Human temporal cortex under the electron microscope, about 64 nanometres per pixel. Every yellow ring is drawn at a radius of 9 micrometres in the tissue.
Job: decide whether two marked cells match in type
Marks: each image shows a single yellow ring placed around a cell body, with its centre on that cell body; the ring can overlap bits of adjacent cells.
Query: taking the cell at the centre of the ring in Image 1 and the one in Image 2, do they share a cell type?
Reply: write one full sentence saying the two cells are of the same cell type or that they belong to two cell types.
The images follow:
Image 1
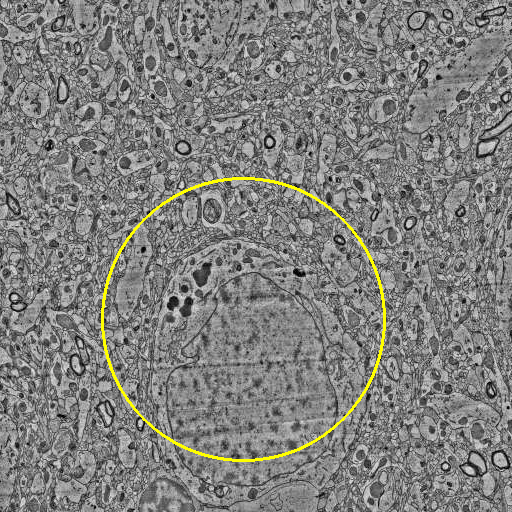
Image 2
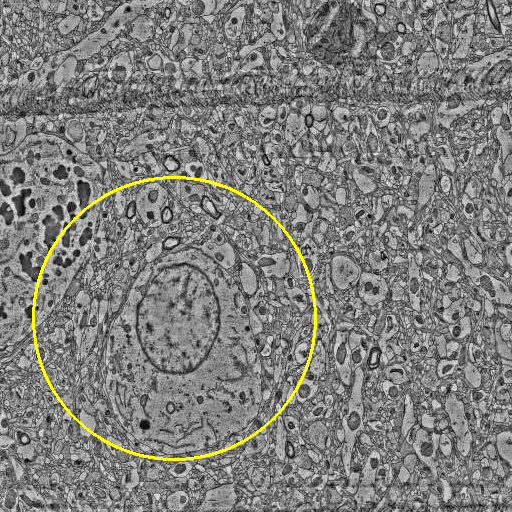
The cells at the ring centres in Image 1 and Image 2 belong to two cell types.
